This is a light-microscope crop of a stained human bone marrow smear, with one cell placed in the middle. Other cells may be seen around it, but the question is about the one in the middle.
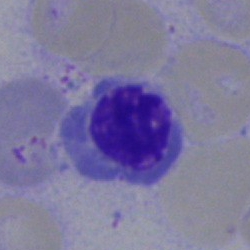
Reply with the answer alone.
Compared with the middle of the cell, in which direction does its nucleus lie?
upper right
